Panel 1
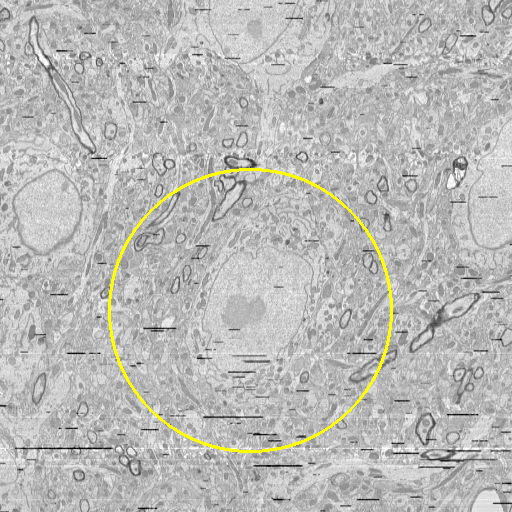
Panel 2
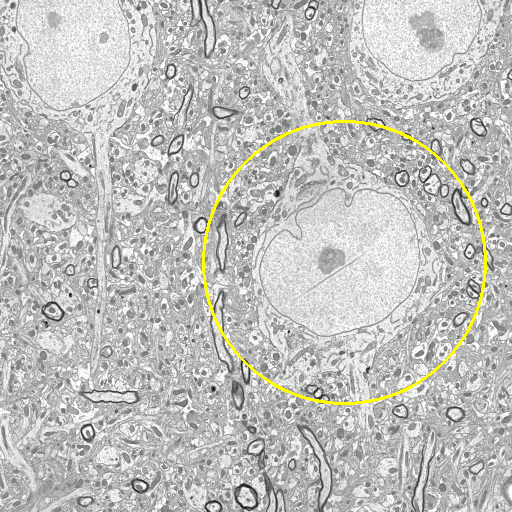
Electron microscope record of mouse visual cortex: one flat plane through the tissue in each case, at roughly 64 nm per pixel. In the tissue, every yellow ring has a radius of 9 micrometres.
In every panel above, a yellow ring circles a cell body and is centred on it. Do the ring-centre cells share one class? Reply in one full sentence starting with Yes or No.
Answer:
No, the two cells at the ring centres in the panels belong to two classes.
